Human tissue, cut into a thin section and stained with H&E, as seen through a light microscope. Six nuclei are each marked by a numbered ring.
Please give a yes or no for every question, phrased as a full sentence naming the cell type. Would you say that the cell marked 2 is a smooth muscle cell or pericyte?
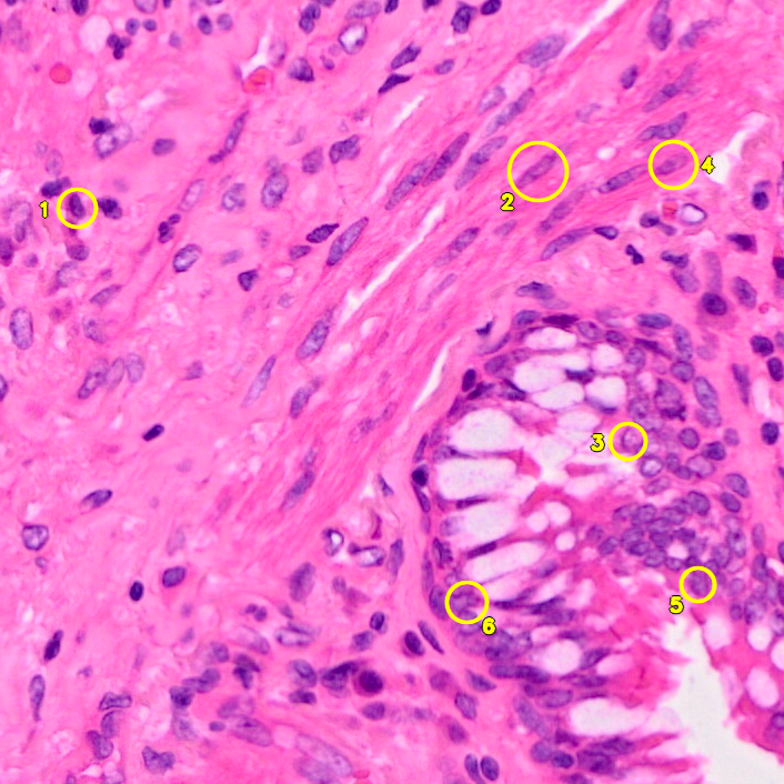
Yes, it is a smooth muscle cell or pericyte that number 2 identifies.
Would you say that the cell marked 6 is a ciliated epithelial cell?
Yes, the nucleus numbered 6 belongs to a ciliated epithelial cell.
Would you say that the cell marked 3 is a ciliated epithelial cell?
Yes, the cell with the number 3 is a ciliated epithelial cell.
